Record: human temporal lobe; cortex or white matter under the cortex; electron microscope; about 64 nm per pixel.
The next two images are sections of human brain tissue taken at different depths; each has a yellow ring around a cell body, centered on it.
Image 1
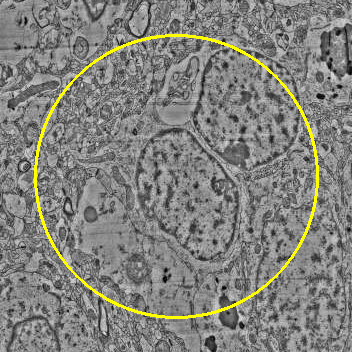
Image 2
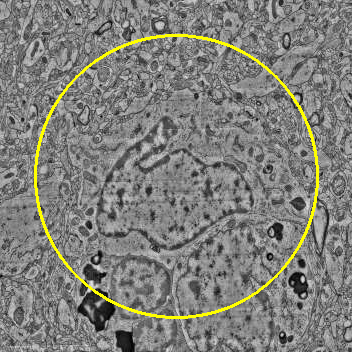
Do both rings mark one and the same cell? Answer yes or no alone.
no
